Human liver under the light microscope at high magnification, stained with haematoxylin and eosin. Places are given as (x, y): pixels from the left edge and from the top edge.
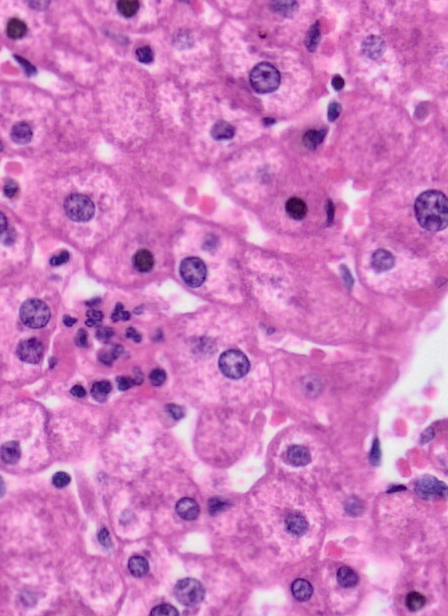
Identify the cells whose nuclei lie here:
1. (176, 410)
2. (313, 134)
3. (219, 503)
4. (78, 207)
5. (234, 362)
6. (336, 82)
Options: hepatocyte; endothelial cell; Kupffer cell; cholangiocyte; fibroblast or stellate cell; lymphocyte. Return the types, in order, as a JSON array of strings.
["Kupffer cell", "Kupffer cell", "fibroblast or stellate cell", "hepatocyte", "hepatocyte", "lymphocyte"]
